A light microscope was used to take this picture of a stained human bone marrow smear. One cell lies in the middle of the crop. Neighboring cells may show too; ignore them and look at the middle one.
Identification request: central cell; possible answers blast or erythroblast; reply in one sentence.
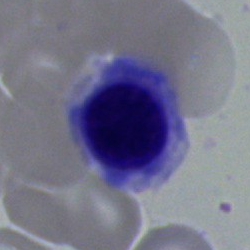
Here the centrally located cell is an erythroblast.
